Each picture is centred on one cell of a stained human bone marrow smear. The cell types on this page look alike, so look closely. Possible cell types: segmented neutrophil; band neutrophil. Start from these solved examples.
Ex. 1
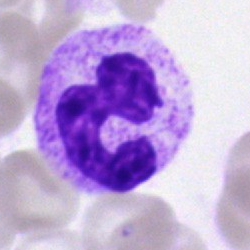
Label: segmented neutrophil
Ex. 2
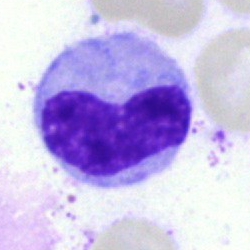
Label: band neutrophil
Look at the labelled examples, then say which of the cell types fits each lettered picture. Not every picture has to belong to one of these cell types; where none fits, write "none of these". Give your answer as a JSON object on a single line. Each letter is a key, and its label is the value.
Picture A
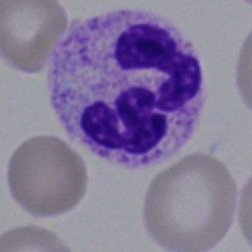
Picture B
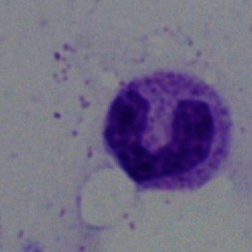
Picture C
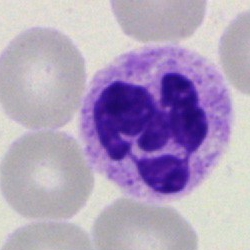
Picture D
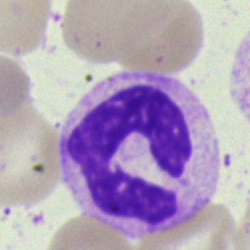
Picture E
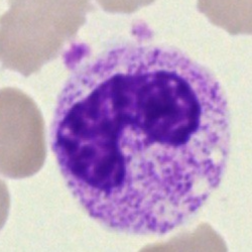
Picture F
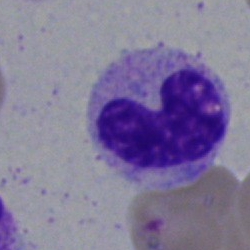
{"A": "segmented neutrophil", "B": "band neutrophil", "C": "segmented neutrophil", "D": "band neutrophil", "E": "band neutrophil", "F": "band neutrophil"}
